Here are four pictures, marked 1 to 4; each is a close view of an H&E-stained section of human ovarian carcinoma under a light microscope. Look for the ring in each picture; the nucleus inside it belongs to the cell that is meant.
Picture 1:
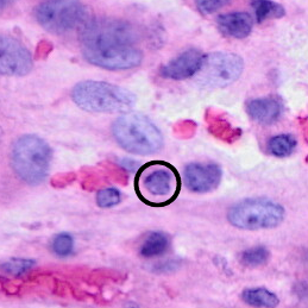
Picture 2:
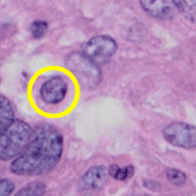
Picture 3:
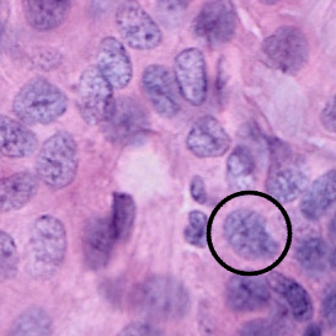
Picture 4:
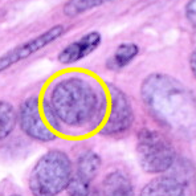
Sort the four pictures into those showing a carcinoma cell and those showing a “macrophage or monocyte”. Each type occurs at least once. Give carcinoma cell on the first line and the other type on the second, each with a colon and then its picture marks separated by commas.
carcinoma cell: 3, 4
macrophage or monocyte: 1, 2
